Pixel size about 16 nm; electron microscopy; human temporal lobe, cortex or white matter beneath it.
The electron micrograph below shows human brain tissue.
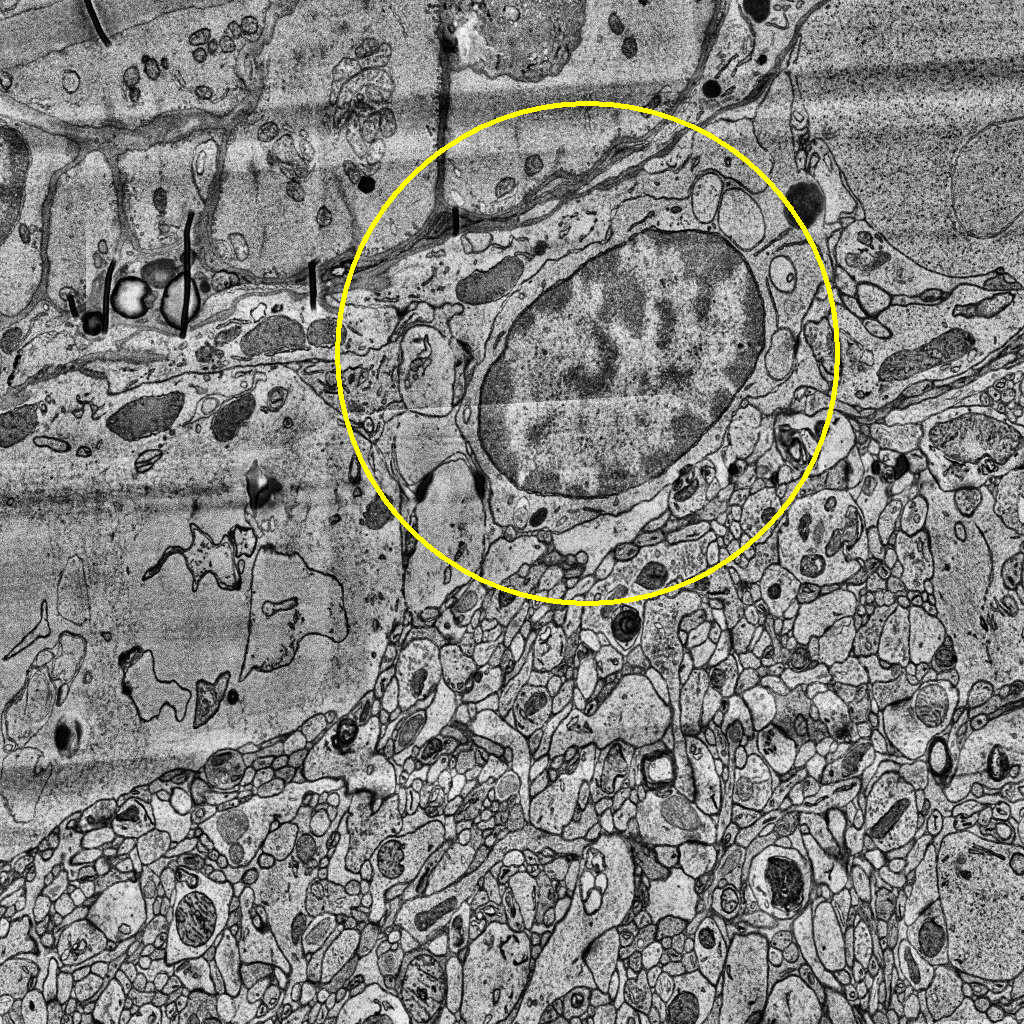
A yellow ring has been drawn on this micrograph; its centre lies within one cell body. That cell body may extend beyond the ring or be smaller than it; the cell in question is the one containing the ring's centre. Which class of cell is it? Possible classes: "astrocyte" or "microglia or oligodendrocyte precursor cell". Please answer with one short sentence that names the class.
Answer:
In the centre of the ring sits a microglial cell or oligodendrocyte precursor cell.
